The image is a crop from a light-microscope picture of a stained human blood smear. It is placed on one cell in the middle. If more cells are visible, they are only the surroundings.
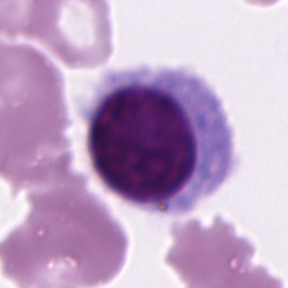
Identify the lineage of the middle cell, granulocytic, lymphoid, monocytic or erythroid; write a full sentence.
The cell held in the center of the crop belongs to the lymphoid lineage.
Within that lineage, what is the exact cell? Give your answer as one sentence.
Of the cells in this crop, the central one is a hairy cell.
